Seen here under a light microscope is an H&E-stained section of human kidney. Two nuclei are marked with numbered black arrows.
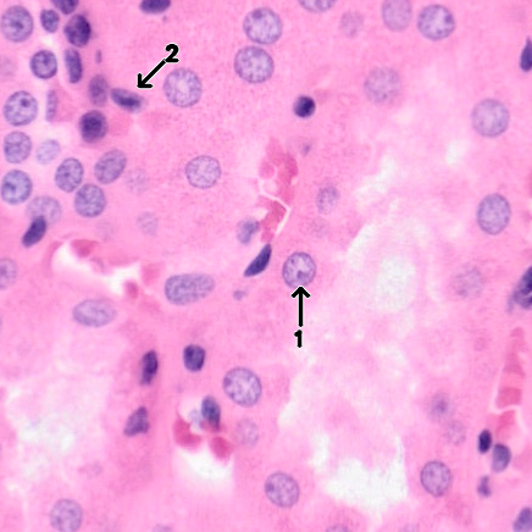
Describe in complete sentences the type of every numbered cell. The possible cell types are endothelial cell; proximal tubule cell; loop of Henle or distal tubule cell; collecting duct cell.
Cell 1 is a proximal tubule cell. Cell 2 is an endothelial cell.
